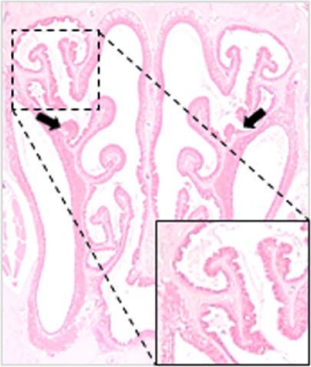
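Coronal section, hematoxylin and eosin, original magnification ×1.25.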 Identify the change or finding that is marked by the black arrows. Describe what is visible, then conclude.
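Nasal polypoid lesions. Small rounded pink outgrowths bulge from the mucosa into the nasal airway at the arrows. The outgrowths stand apart from the normal curled turbinate outline.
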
